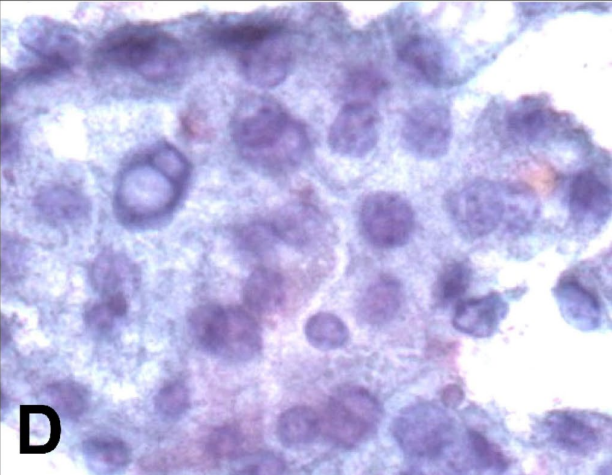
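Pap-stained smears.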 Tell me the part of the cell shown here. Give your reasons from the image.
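Intranuclear cytoplasmic pseudoinclusions. One nucleus at upper left contains a round, pale, sharply bounded clear area. The clear area is rimmed by a thick dark nuclear membrane.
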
